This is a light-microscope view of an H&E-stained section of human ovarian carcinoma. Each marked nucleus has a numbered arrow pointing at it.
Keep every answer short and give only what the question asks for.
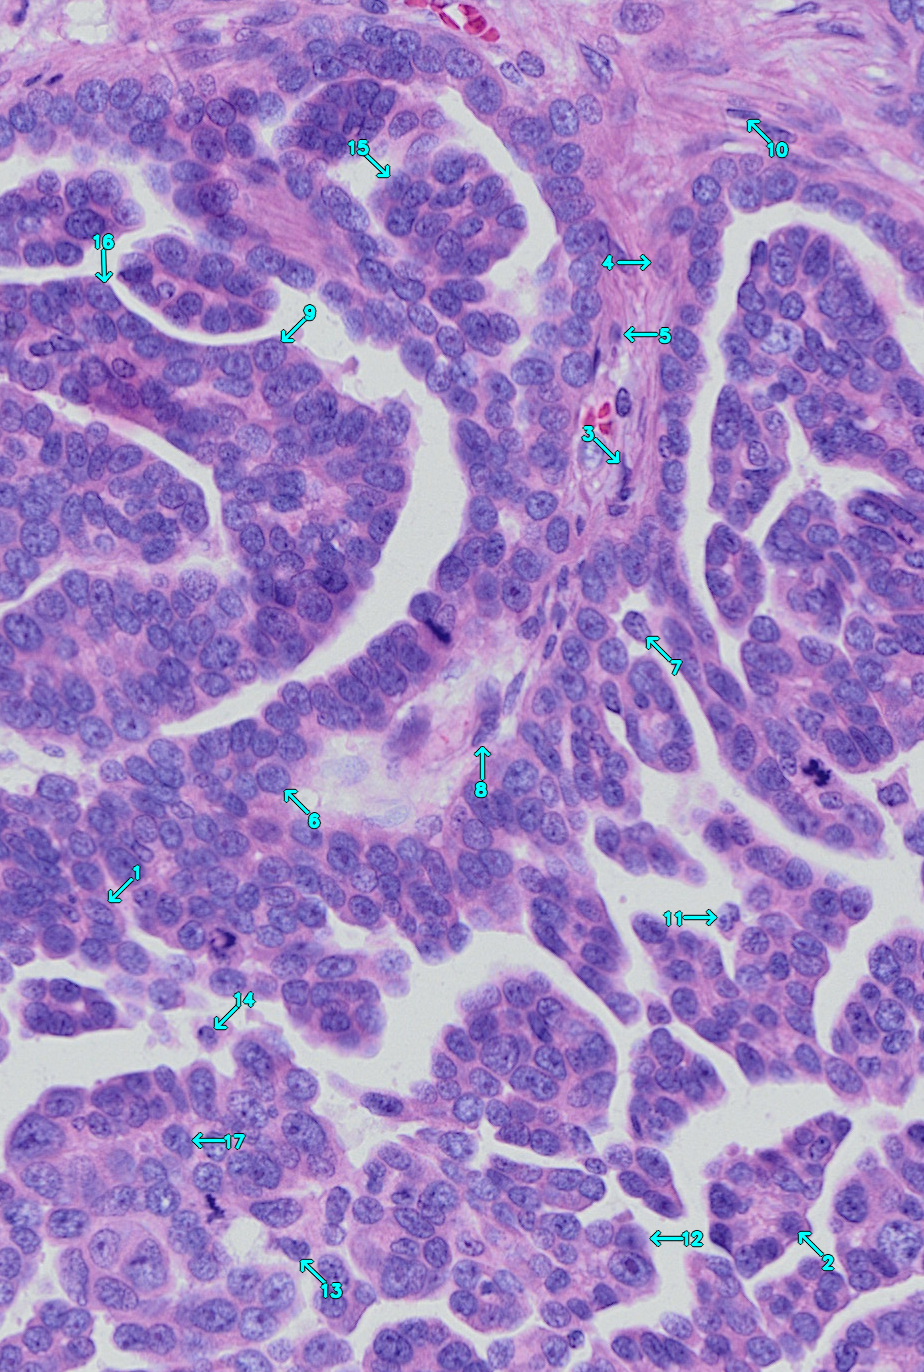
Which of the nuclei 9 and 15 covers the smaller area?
15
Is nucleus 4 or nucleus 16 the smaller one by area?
4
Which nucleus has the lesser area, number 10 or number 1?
10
